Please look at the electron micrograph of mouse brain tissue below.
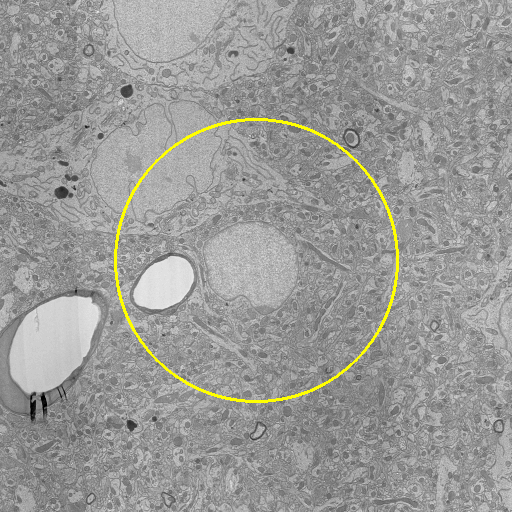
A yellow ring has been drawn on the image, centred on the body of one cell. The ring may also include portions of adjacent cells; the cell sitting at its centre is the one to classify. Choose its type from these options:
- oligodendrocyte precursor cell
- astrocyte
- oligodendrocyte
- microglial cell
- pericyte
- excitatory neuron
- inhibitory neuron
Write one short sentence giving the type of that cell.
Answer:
The cell in the middle of the ring is an astrocyte.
